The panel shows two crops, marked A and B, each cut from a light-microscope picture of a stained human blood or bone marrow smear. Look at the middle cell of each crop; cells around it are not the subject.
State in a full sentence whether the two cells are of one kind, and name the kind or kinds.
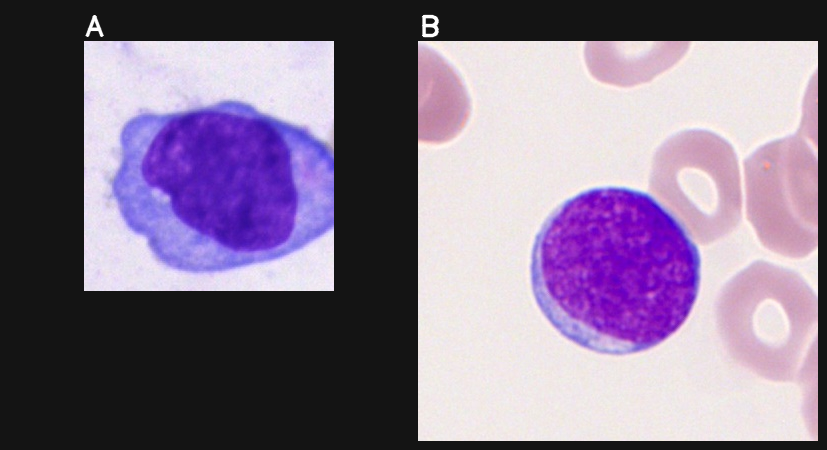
Yes, both of the crops show blasts.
